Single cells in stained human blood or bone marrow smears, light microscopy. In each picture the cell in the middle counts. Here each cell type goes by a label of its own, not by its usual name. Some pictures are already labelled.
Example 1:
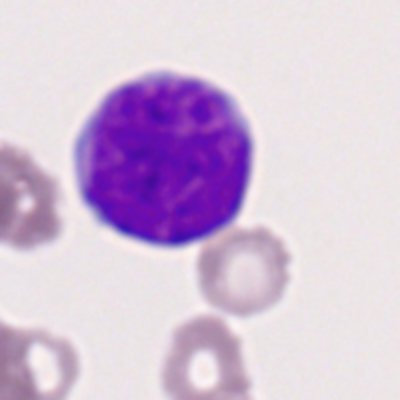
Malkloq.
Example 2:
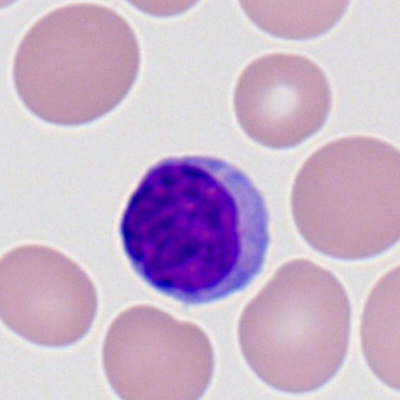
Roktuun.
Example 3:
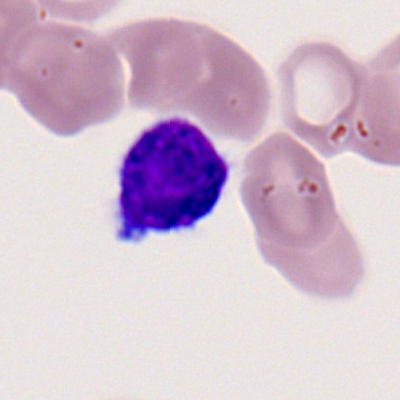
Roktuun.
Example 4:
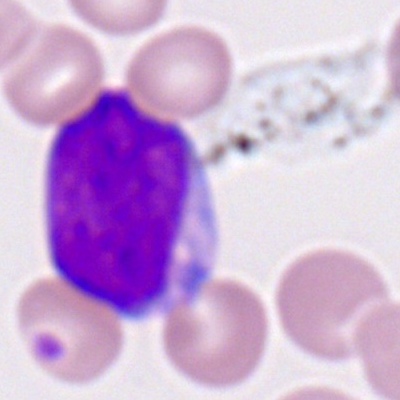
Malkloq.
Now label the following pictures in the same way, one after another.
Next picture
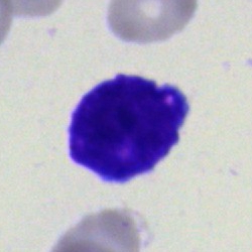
Malkloq.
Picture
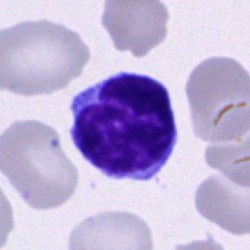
Roktuun.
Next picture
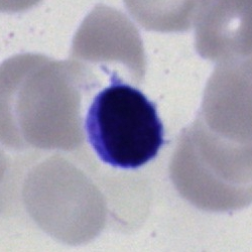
Roktuun.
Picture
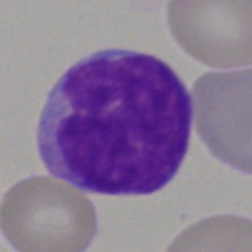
Malkloq.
